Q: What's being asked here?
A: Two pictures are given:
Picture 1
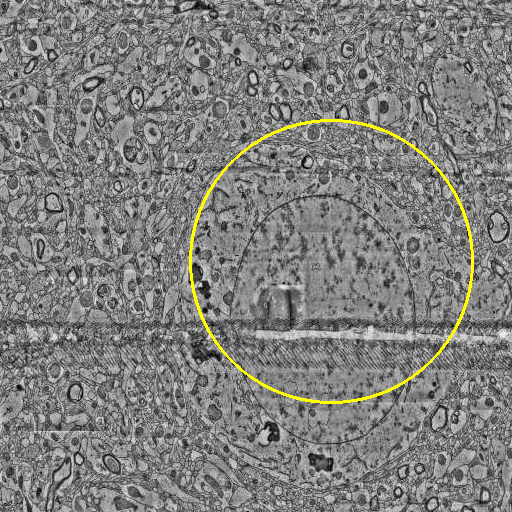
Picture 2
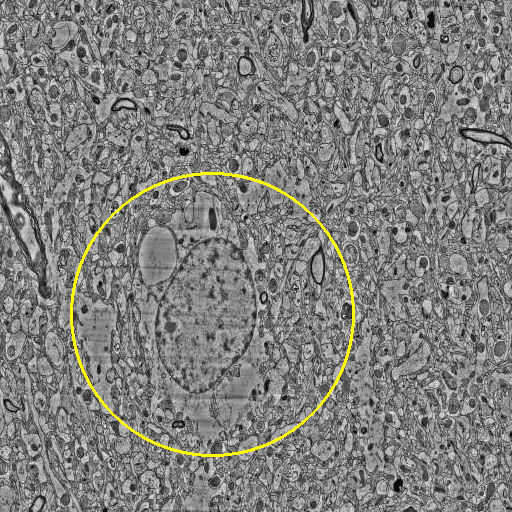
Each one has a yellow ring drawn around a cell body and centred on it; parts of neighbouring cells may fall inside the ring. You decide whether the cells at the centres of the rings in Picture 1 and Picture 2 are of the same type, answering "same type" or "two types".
two types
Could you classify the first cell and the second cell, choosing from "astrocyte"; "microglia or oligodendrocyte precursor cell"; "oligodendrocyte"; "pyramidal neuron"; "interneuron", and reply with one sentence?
The second cell is an astrocyte, while the first is a pyramidal neuron.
